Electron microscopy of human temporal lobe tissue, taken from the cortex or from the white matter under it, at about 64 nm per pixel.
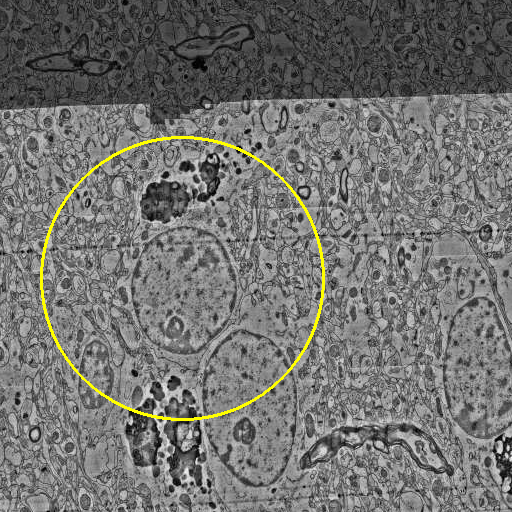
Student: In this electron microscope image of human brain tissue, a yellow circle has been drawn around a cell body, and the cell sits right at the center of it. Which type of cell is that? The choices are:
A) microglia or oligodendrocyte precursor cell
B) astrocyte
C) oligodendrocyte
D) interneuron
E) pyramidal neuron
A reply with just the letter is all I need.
B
